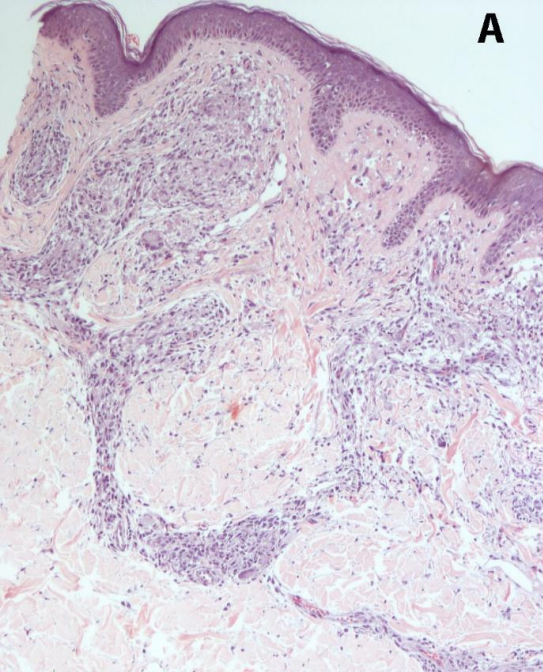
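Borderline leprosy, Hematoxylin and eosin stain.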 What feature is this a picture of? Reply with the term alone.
Loosely organized granulomas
